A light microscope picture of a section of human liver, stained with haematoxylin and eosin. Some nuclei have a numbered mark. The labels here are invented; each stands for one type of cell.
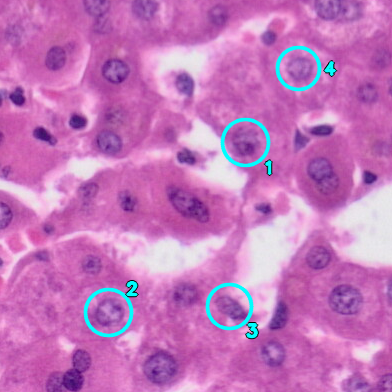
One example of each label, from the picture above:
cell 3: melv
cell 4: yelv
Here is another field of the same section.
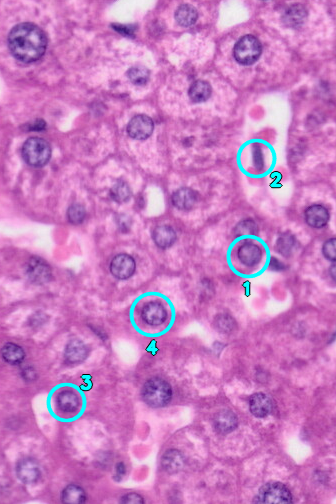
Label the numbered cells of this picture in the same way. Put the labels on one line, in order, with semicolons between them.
yelv; melv; yelv; yelv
